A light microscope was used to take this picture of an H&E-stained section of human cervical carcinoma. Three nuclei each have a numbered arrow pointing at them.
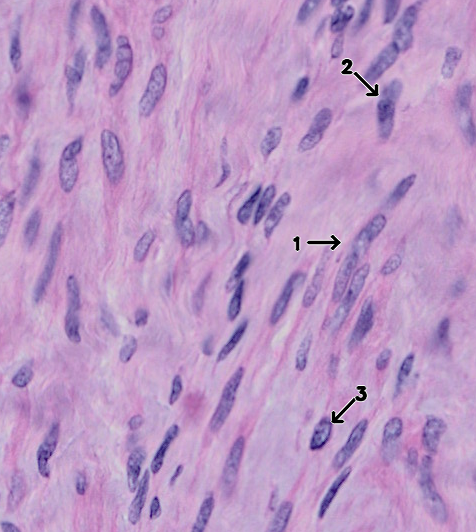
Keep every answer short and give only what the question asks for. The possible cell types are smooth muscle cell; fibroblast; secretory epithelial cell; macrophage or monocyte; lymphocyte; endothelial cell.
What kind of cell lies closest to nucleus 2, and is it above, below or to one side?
a fibroblast above nucleus 2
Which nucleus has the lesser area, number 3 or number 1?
3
